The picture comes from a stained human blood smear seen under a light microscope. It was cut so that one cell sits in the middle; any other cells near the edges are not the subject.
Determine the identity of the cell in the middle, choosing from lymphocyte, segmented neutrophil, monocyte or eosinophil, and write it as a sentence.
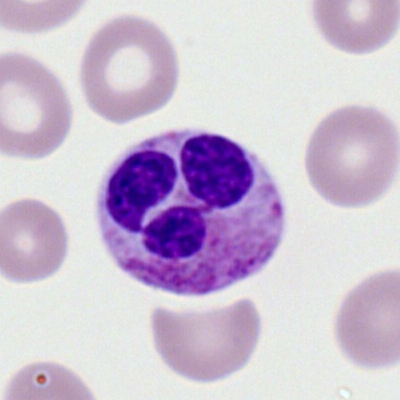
Here the centrally located cell is an eosinophil.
